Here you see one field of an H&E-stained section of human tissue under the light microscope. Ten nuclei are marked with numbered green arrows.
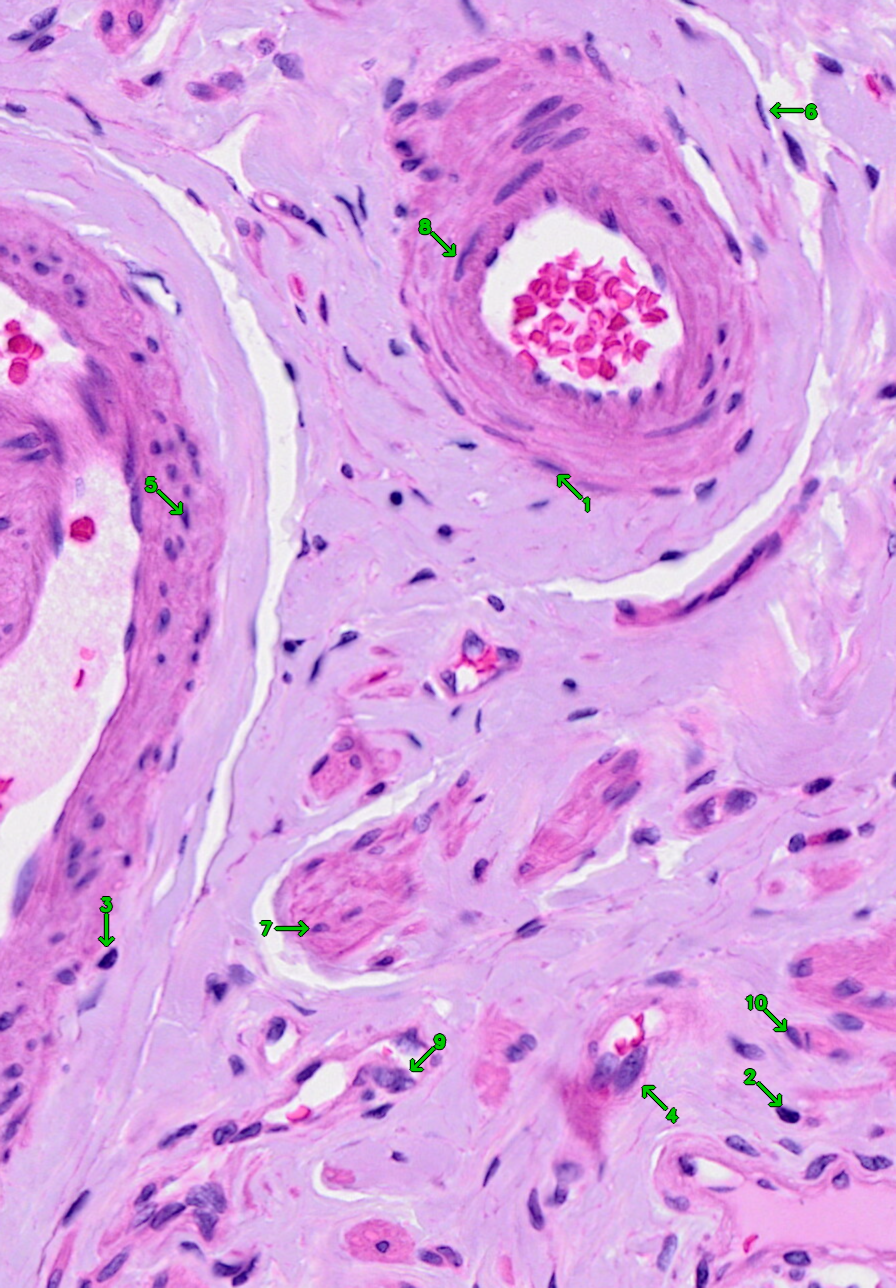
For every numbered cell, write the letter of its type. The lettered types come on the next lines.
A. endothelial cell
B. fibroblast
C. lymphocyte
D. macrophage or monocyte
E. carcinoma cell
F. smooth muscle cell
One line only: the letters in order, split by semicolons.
F; C; C; A; F; B; F; F; A; F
